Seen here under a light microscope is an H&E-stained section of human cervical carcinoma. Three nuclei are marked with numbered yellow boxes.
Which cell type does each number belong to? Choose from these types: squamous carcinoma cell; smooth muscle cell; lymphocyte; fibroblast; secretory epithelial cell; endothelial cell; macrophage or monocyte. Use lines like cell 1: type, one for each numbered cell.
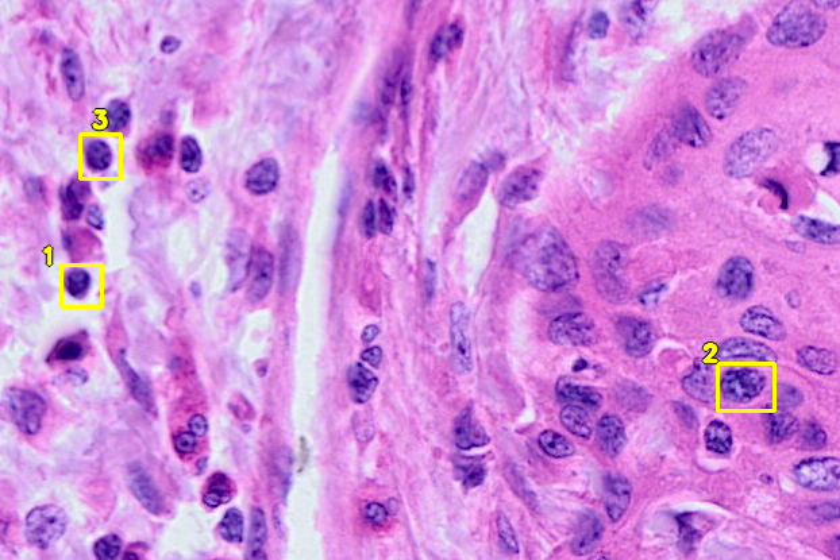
cell 1: lymphocyte
cell 2: squamous carcinoma cell
cell 3: lymphocyte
